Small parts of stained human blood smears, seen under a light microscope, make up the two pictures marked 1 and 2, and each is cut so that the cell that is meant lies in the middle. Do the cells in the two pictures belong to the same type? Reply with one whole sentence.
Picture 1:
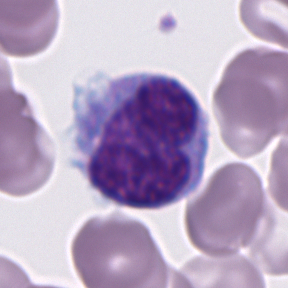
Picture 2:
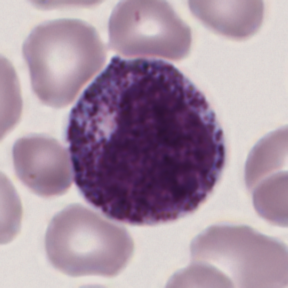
No, picture 1 shows a monocyte and picture 2 shows a promyelocyte.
